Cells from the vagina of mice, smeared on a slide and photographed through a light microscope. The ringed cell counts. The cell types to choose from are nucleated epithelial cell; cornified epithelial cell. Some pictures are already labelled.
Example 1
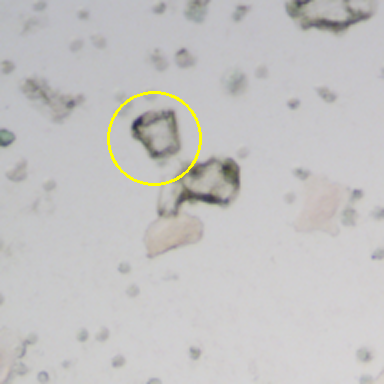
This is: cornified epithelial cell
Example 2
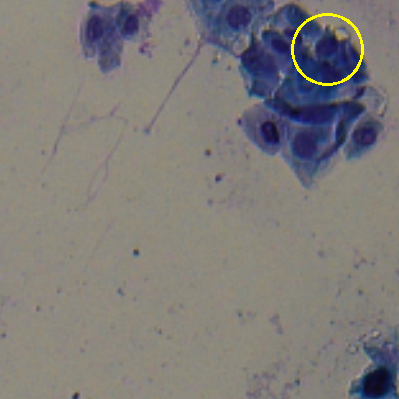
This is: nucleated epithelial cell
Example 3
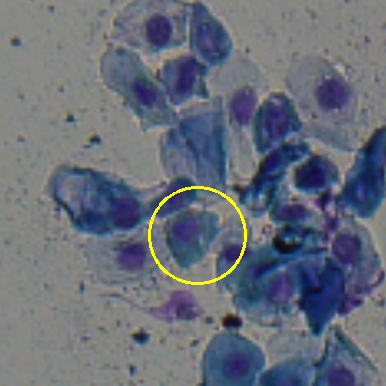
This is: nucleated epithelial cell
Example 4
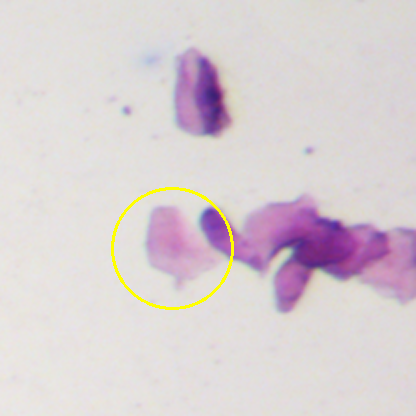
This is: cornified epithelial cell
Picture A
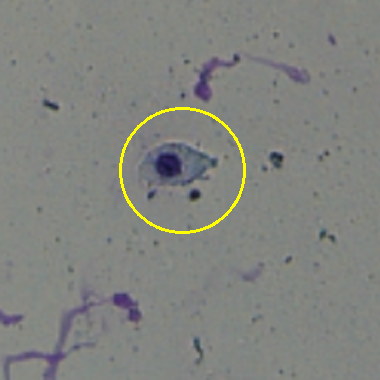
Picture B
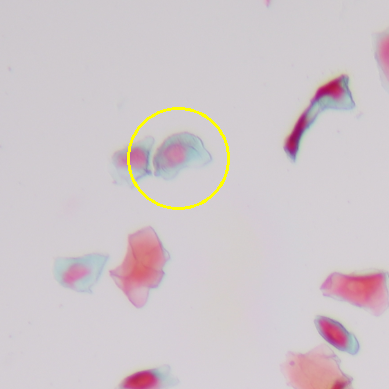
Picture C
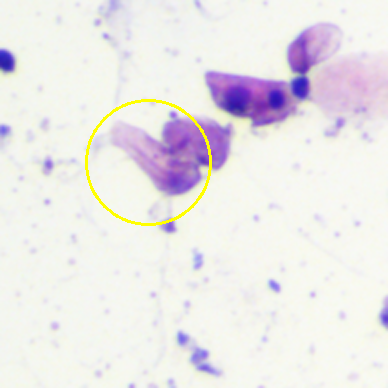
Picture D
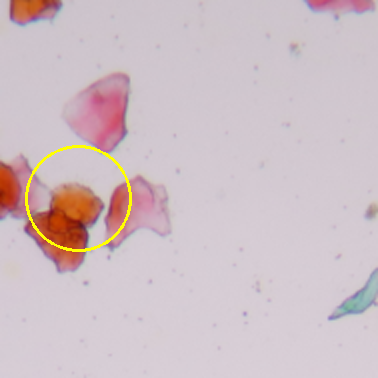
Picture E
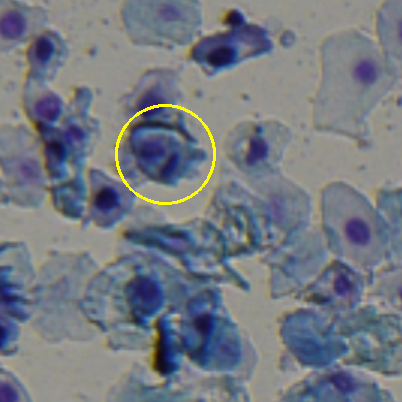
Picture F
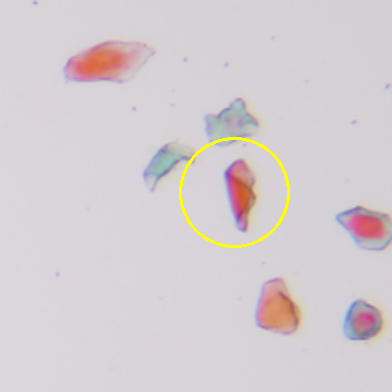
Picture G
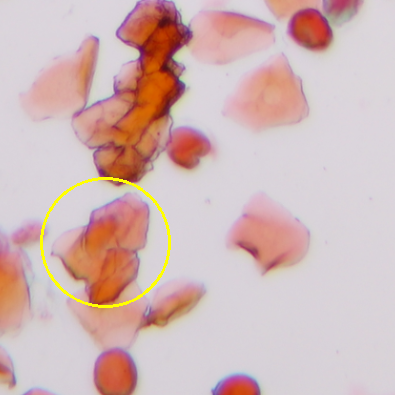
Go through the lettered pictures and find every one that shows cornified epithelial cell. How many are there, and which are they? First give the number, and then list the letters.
4: C, D, F, G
